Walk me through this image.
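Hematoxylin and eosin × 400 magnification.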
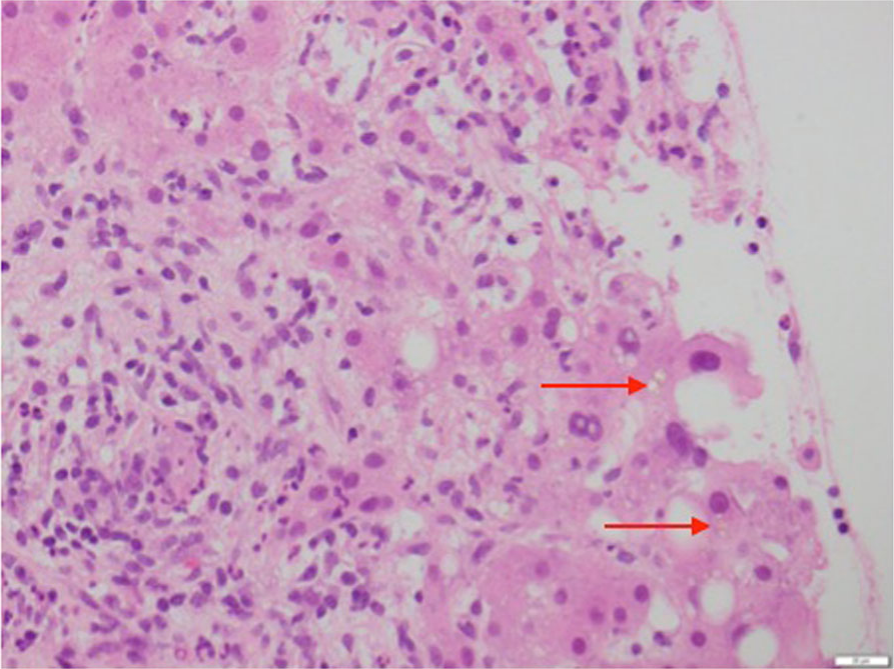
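Liver tissue with large polygonal hepatocytes that have pink cytoplasm and round central nuclei, some cells holding two nuclei and several showing clear vacuoles. Small yellowish droplets of bile sit among the hepatocytes near the right edge.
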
